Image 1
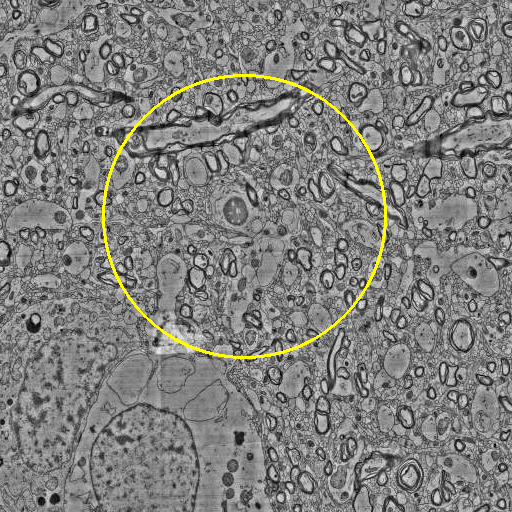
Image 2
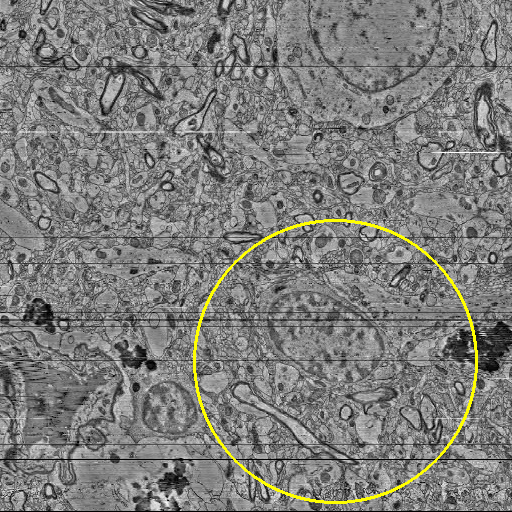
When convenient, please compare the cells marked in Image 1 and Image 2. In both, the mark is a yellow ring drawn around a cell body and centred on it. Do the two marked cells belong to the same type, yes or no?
no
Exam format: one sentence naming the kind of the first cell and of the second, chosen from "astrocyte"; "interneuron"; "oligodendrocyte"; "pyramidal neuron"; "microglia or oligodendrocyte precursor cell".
The first picture's cell is a microglial cell or oligodendrocyte precursor cell, and the second picture's cell is an oligodendrocyte.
